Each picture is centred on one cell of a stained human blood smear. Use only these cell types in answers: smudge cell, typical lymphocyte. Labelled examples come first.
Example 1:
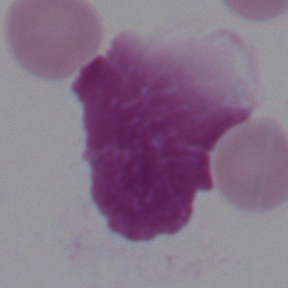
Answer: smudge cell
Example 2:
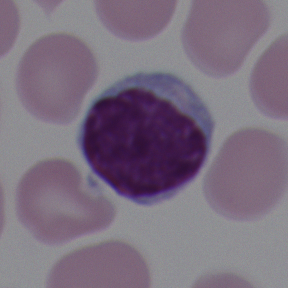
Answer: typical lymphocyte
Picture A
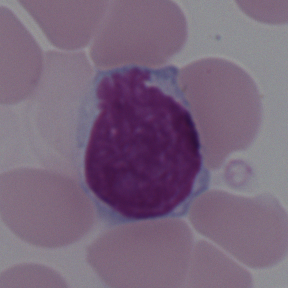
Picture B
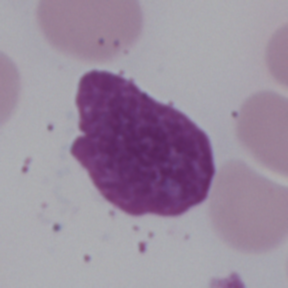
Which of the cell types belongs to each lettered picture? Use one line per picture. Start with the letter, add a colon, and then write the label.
A: typical lymphocyte
B: smudge cell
